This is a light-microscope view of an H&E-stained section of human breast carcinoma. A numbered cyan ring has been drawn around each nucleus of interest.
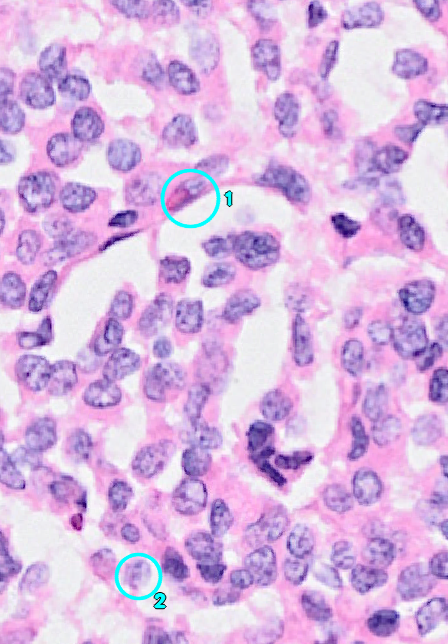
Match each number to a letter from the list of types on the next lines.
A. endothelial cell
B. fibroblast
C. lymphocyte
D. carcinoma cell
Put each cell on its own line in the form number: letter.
1: A
2: D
